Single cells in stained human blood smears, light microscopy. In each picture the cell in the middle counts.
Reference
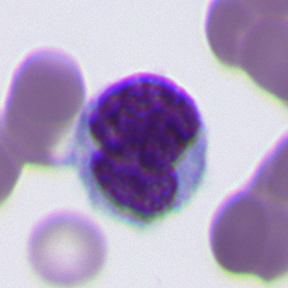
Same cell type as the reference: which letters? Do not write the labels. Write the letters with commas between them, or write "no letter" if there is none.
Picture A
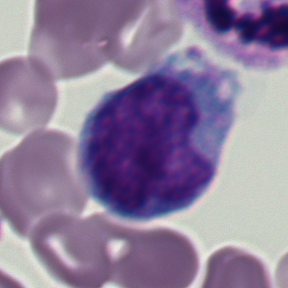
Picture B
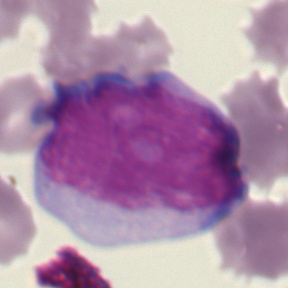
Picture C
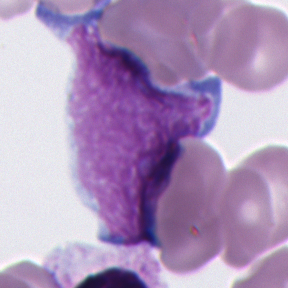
A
